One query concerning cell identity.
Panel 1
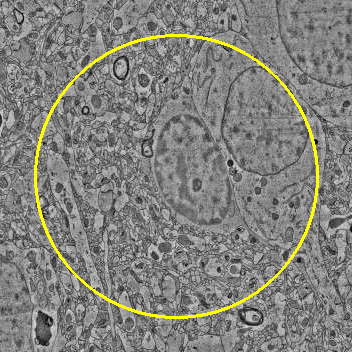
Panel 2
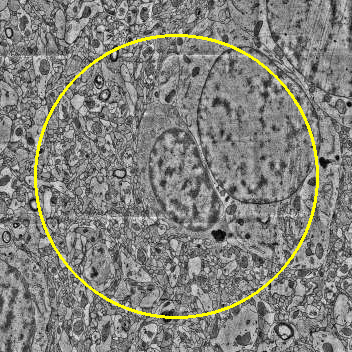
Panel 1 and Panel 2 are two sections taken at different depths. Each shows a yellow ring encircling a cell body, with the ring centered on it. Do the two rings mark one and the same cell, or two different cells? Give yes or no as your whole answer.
yes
